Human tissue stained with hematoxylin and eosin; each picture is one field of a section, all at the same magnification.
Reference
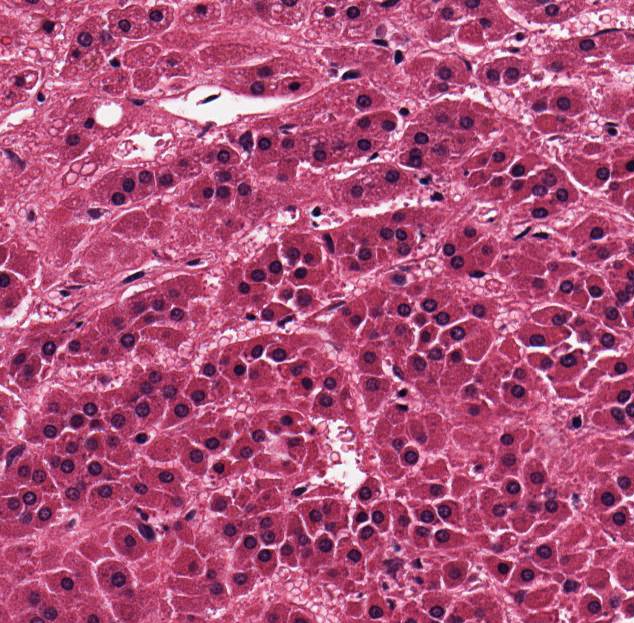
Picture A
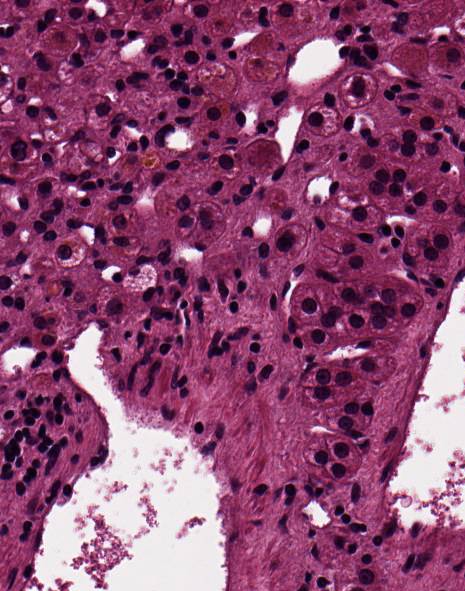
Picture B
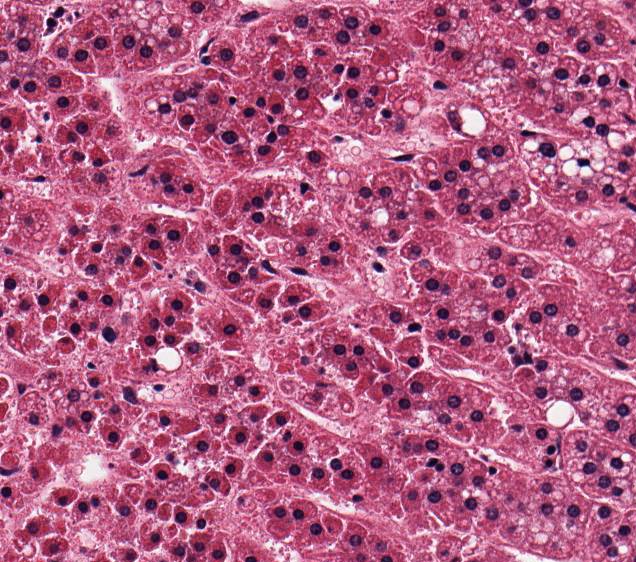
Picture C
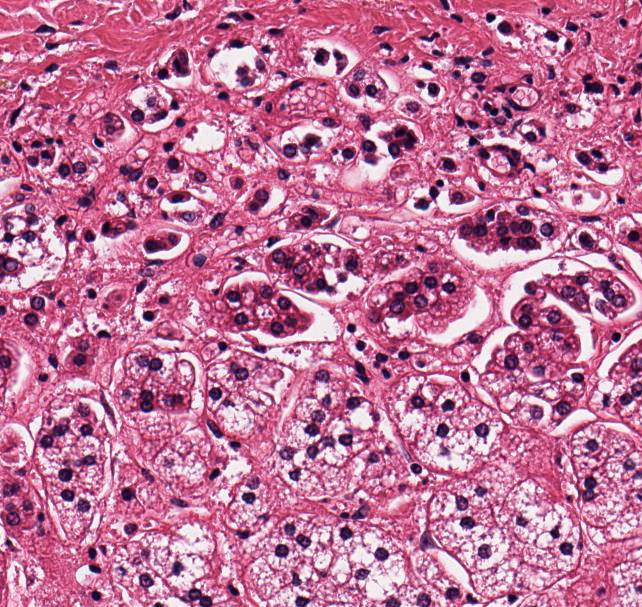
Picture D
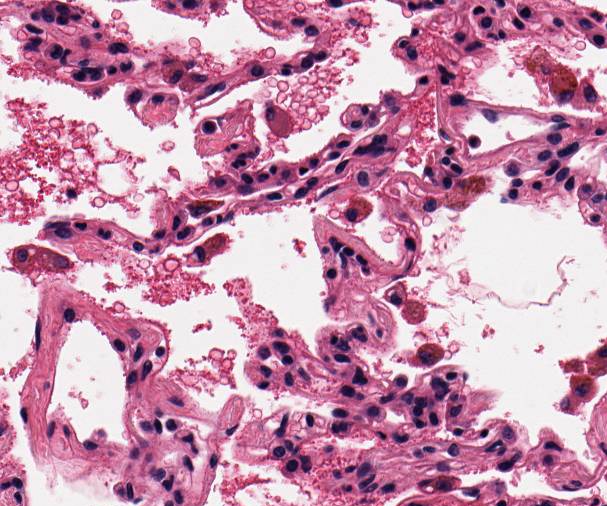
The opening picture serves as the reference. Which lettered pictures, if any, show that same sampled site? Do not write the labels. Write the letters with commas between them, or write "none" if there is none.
A, B, C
